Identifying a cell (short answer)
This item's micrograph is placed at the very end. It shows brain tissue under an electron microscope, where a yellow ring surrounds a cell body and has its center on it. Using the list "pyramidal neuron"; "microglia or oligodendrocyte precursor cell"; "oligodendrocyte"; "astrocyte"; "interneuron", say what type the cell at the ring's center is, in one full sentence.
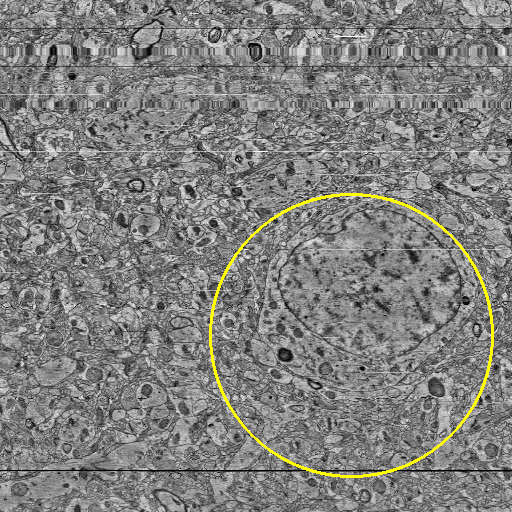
This picture shows a pyramidal neuron at the center of the yellow ring drawn on it.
